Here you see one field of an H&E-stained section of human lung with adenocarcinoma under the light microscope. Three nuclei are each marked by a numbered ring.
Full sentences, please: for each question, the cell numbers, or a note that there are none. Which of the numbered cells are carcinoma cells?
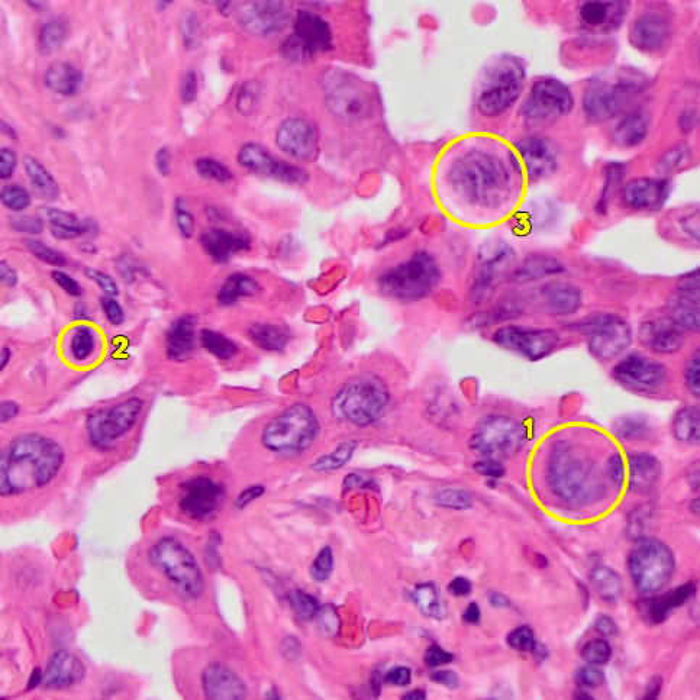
The cells numbered 1 and 3 are, by type, carcinoma cells.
